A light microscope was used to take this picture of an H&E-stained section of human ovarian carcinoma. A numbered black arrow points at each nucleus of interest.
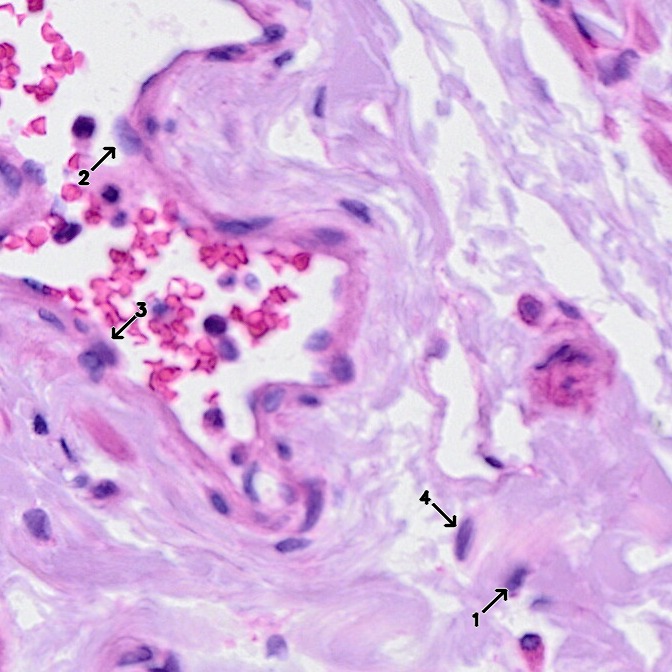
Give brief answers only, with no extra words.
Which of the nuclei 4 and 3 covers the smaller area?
4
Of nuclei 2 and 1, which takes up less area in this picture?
1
